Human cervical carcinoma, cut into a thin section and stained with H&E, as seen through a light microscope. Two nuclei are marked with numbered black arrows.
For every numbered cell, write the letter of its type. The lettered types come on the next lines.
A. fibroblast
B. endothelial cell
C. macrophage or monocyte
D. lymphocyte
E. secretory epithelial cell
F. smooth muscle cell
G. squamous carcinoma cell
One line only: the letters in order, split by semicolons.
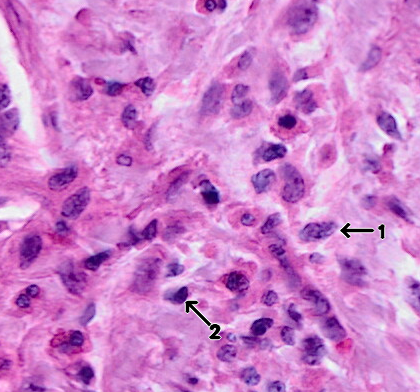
C; D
